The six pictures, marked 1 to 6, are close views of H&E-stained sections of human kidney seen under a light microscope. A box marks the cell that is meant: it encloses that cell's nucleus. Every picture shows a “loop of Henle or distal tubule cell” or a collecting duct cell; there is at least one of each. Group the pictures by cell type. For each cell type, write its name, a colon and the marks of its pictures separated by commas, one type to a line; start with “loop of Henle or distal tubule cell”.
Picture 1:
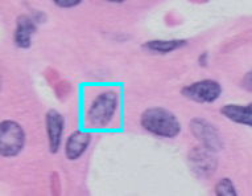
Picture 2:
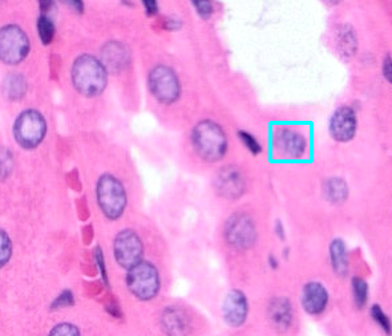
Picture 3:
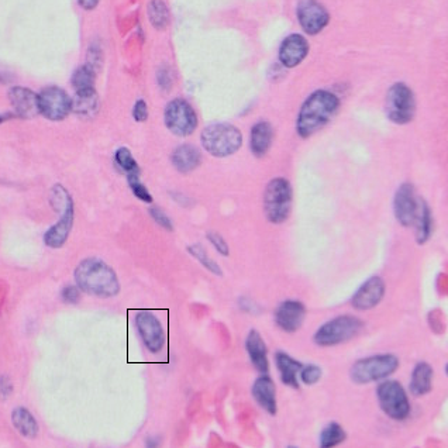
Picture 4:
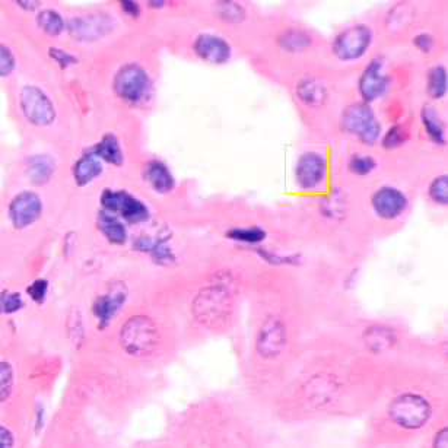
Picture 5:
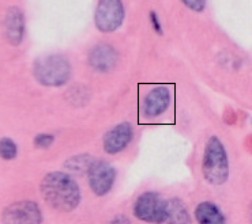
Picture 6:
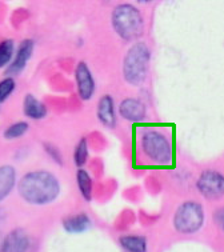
loop of Henle or distal tubule cell: 2, 4
collecting duct cell: 1, 3, 5, 6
